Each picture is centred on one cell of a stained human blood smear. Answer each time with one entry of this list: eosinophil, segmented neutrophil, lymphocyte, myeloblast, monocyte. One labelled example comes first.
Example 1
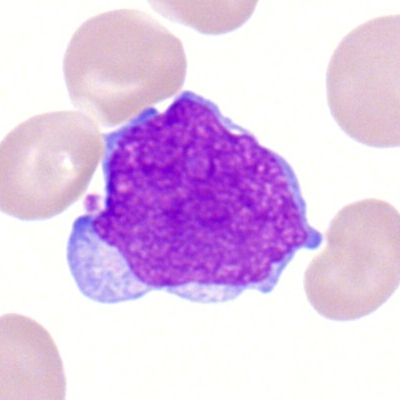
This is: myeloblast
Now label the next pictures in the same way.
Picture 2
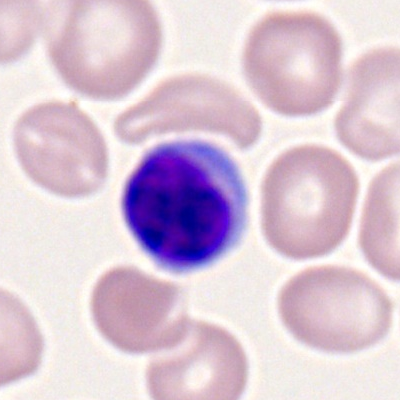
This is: lymphocyte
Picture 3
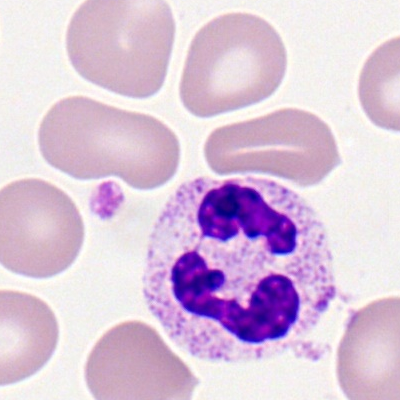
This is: segmented neutrophil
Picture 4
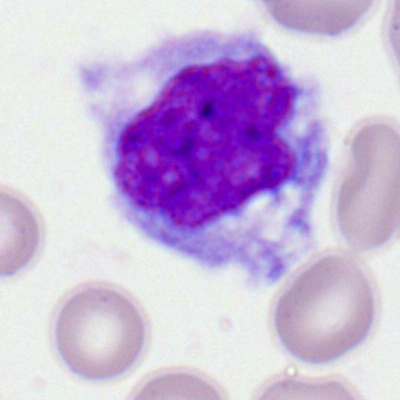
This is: monocyte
